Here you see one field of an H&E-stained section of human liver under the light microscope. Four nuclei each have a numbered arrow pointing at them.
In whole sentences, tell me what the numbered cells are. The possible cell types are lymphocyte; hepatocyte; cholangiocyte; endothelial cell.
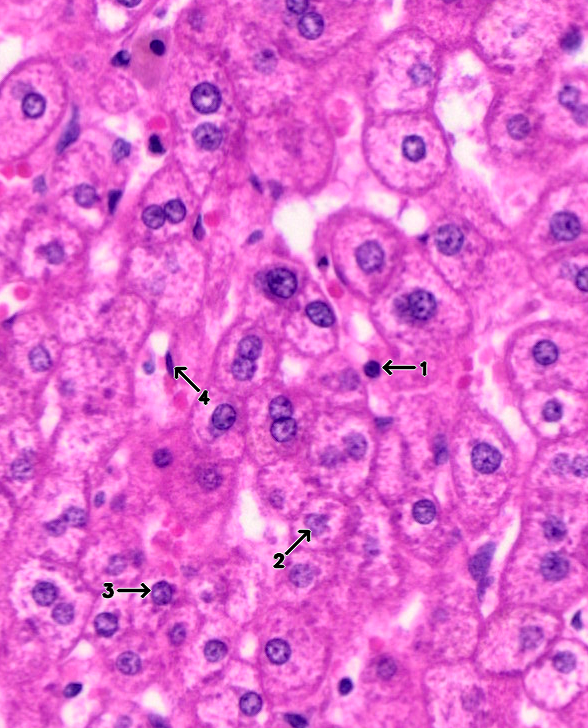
Cell 1 is a lymphocyte, cell 2 is a hepatocyte, cell 3 is a hepatocyte and cell 4 is an endothelial cell.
